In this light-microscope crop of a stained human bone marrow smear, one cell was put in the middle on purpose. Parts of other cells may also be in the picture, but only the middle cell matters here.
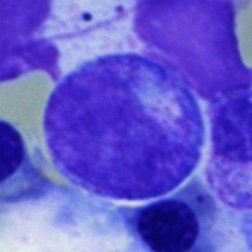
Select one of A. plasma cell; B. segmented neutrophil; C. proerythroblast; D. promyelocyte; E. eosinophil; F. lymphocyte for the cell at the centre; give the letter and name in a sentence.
Of the choices given, option D is right, as the central cell is a promyelocyte.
